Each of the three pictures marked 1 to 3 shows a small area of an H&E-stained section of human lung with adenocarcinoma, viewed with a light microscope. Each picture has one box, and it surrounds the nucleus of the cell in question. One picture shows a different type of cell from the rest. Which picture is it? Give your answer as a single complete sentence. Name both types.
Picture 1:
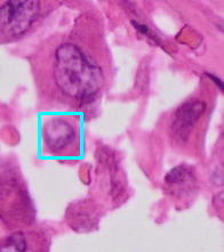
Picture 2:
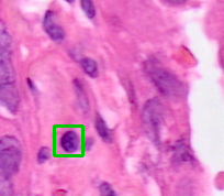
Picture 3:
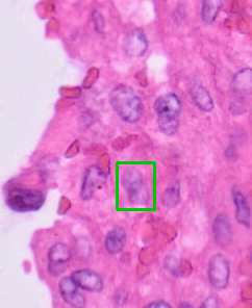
The others show “macrophages or monocytes”, but picture 2 shows a lymphocyte.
